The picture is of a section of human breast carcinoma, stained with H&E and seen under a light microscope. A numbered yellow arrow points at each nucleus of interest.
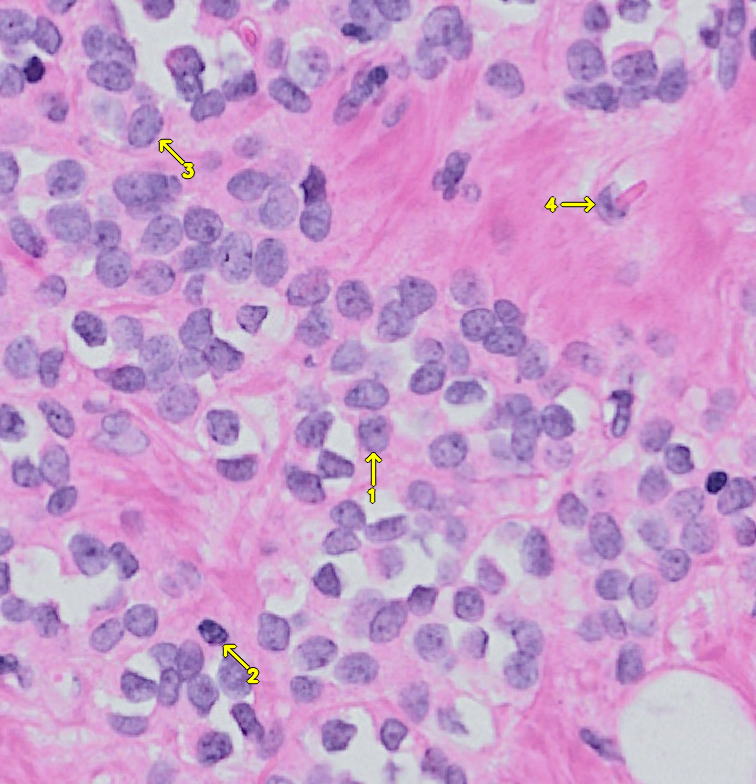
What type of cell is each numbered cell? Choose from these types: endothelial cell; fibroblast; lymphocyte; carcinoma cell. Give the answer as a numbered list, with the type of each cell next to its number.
1. carcinoma cell
2. lymphocyte
3. carcinoma cell
4. endothelial cell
